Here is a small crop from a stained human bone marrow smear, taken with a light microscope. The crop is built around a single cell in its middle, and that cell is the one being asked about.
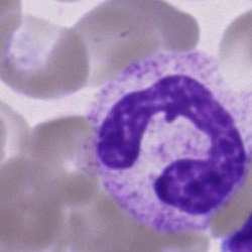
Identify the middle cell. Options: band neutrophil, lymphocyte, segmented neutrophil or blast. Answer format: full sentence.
The single cell at the center of the crop is a band neutrophil.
